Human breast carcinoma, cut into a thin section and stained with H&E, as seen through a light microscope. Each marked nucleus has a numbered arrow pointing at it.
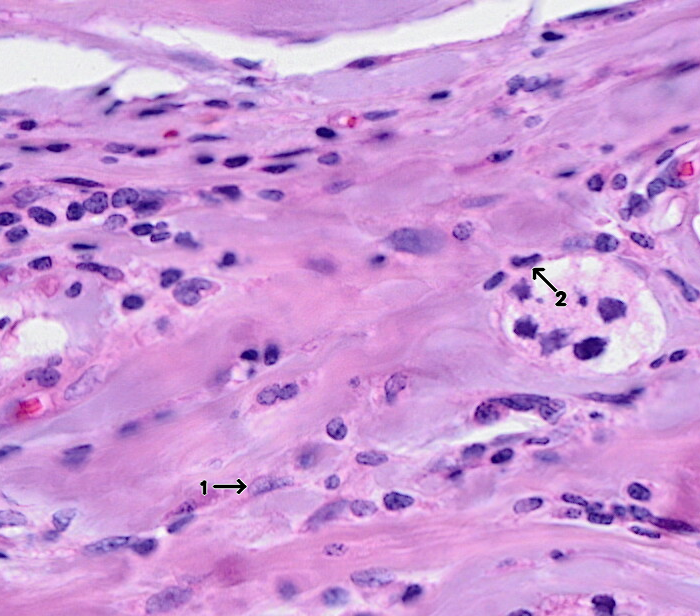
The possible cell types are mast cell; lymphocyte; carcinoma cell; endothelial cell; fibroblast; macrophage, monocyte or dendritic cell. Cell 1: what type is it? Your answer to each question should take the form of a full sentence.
The nucleus labelled 1 belongs to a fibroblast.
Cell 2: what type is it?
The cell that carries the label 2 is a lymphocyte.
